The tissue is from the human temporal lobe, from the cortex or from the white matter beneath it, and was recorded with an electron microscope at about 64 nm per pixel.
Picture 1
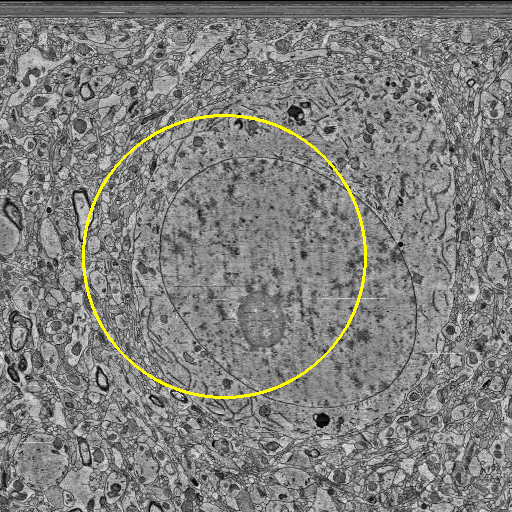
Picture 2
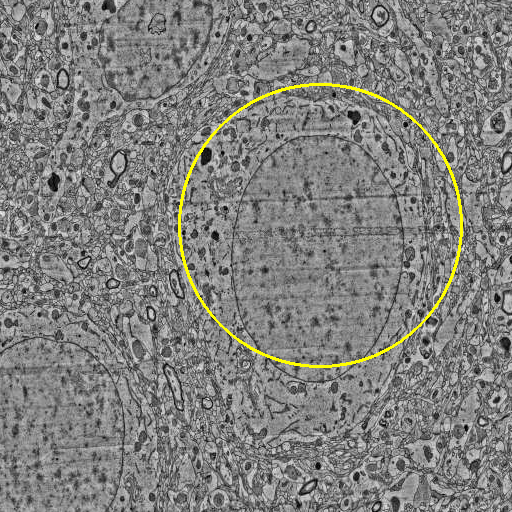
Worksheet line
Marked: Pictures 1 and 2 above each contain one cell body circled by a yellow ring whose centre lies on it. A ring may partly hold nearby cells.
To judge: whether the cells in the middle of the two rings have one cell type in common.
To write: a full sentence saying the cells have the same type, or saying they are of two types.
The cells in the middle of the rings in Picture 1 and Picture 2 have the same type.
